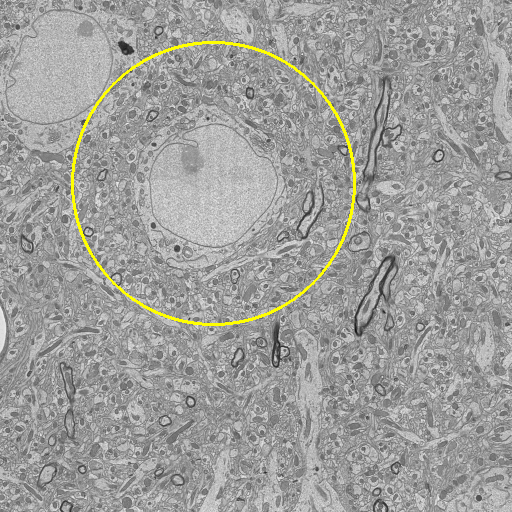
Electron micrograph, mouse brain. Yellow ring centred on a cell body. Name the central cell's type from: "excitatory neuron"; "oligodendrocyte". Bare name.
excitatory neuron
